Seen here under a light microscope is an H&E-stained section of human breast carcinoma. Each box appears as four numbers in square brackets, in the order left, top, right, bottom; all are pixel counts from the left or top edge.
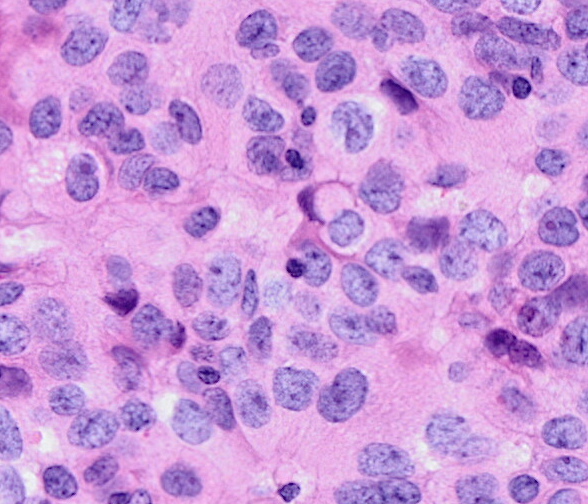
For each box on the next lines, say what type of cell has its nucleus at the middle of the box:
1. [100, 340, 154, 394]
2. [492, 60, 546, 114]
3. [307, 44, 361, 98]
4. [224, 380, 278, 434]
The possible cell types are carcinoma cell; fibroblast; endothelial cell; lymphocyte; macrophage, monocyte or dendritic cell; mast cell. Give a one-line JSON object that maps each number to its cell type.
{"1": "carcinoma cell", "2": "lymphocyte", "3": "carcinoma cell", "4": "carcinoma cell"}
